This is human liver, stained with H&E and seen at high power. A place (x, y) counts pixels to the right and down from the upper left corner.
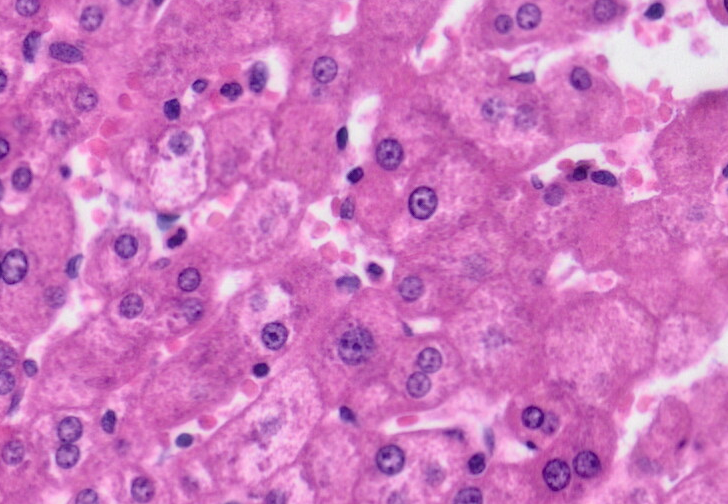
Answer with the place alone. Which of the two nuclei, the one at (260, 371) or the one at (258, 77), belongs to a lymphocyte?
(260, 371)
